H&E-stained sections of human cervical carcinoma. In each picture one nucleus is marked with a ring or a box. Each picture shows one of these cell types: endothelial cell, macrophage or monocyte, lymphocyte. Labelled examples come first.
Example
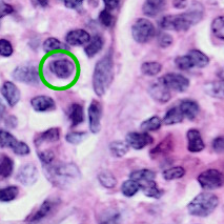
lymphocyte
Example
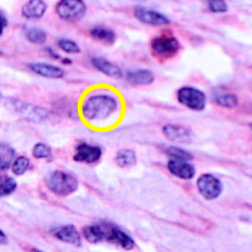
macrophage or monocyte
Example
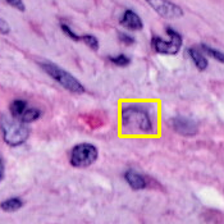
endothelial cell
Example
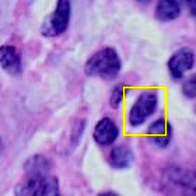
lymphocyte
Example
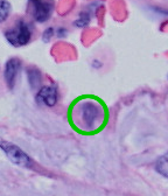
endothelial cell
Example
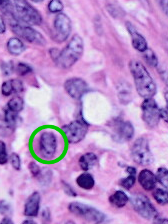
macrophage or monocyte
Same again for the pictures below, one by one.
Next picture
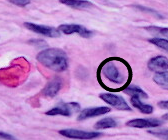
endothelial cell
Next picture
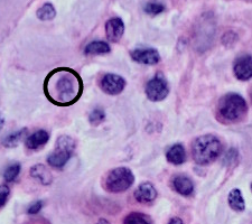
macrophage or monocyte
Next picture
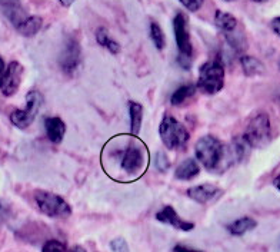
lymphocyte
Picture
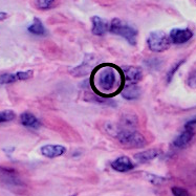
lymphocyte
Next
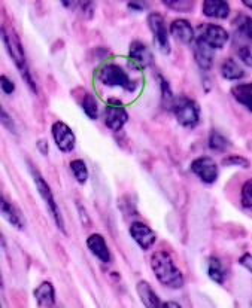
lymphocyte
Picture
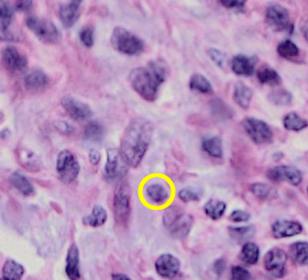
lymphocyte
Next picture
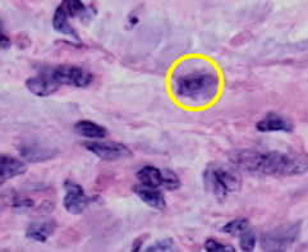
macrophage or monocyte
